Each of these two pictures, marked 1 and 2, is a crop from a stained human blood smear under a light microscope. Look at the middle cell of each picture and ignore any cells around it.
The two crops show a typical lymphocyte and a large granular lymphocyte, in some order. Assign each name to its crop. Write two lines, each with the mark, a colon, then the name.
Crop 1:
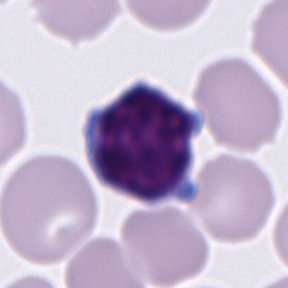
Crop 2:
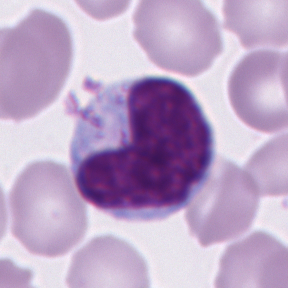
1: typical lymphocyte
2: large granular lymphocyte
